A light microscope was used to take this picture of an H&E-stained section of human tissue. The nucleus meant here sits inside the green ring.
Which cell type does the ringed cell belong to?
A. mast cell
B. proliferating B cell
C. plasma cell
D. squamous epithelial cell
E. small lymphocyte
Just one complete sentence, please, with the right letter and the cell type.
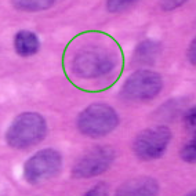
Right answer, option D: the ringed cell is a squamous epithelial cell.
